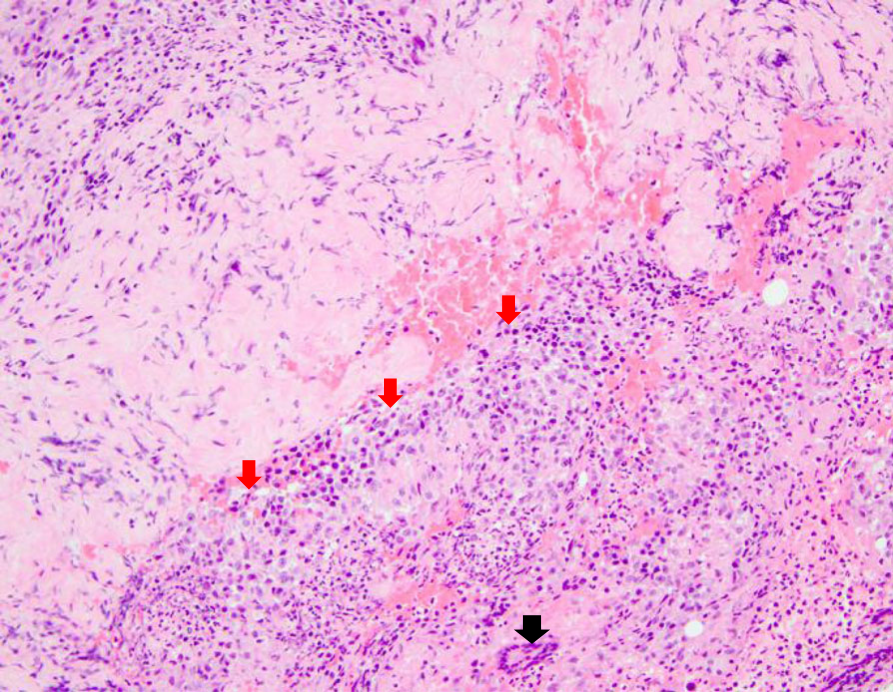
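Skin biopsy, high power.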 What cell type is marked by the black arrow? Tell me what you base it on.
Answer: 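Multinucleated giant cells. At the black arrow, several nuclei are clustered in a ring within one cell. The cell is larger than the surrounding inflammatory cells.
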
